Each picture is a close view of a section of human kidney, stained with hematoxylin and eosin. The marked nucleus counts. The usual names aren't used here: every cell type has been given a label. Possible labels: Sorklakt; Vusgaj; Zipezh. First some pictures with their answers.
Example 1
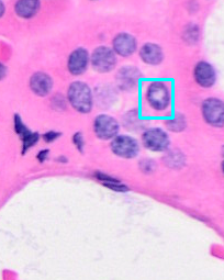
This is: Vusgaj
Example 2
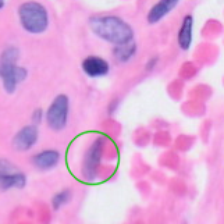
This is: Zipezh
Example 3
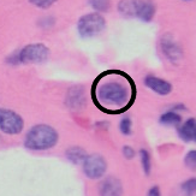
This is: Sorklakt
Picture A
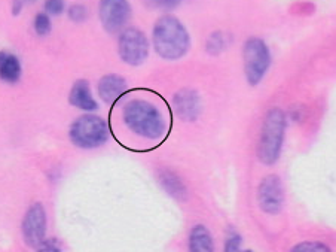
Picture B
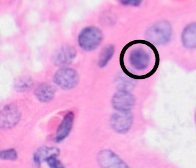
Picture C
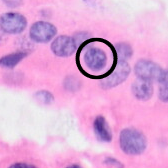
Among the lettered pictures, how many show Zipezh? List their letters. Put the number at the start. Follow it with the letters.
0, none of them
